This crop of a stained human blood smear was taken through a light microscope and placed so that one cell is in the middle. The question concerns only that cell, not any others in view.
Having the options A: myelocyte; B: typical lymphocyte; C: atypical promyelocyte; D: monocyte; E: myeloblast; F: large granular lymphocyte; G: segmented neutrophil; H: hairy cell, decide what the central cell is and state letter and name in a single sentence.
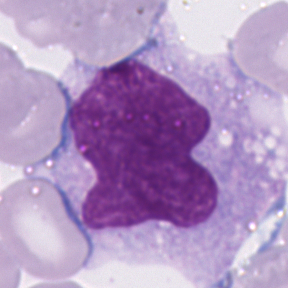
Of the choices given, option D is right, as the central cell is a monocyte.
